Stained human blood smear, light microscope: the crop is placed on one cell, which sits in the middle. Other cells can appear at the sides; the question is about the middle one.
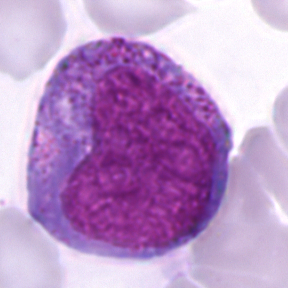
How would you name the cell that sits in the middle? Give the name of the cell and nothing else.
promyelocyte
